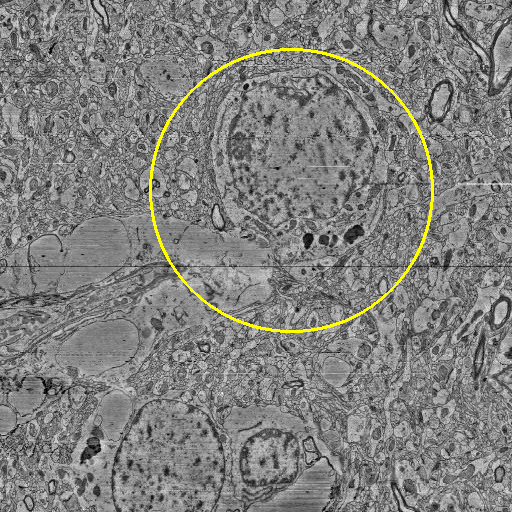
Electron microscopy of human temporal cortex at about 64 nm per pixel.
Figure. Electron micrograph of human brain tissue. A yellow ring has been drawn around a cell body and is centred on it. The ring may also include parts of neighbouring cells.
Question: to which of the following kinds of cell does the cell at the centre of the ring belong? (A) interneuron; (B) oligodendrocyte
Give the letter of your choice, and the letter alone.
A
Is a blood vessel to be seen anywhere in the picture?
Yes, there is one.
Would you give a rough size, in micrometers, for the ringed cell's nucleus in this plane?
Approximately 10 micrometres across, in this plane.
